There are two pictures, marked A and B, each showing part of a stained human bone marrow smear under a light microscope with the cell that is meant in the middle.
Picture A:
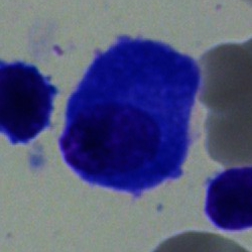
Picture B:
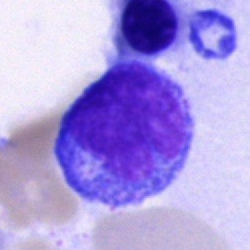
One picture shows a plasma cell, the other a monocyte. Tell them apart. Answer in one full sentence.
Picture B shows a monocyte, while picture A shows a plasma cell.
